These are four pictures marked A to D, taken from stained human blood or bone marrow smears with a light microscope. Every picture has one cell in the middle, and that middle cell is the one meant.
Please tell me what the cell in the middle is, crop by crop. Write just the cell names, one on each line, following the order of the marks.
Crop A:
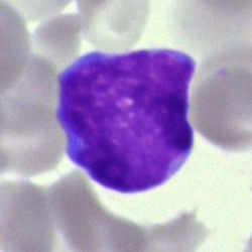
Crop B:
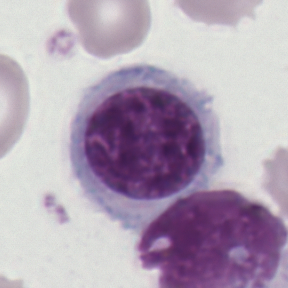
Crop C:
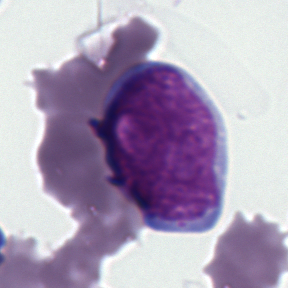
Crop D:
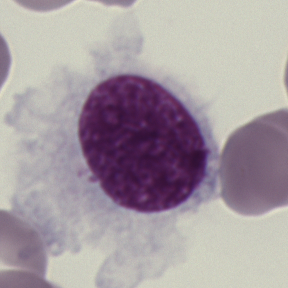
blast
plasma cell
blast
hairy cell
